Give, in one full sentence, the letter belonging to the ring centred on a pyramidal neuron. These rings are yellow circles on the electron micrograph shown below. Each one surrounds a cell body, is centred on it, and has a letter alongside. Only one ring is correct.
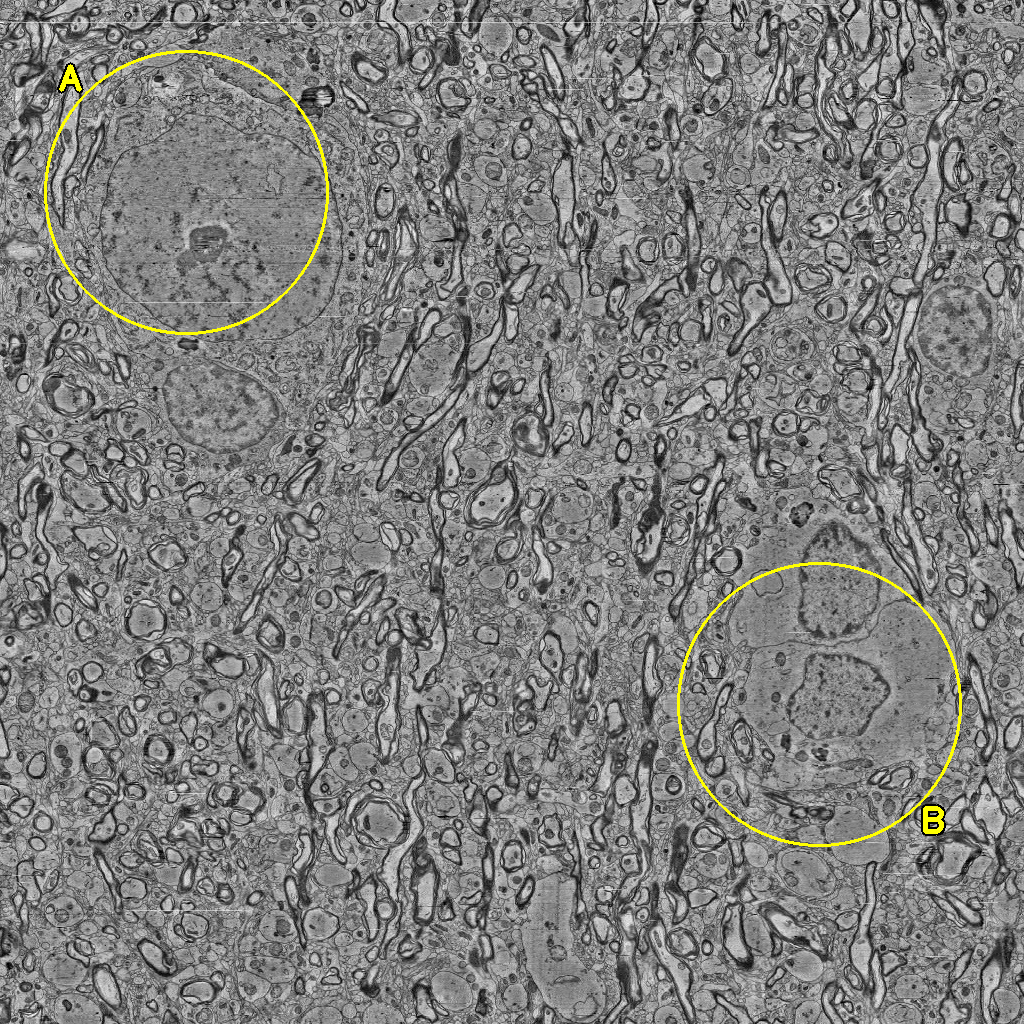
My answer is A, the ring centred on the cell asked for.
